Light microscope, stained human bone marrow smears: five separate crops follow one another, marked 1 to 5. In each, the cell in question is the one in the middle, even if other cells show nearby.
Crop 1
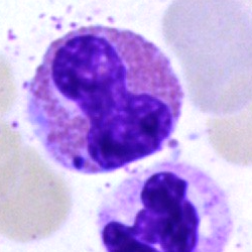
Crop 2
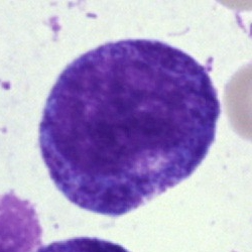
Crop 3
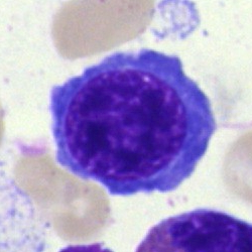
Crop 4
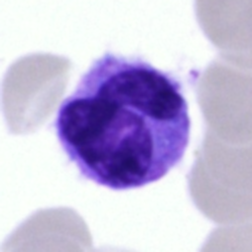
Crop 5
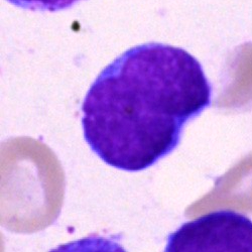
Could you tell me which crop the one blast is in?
5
